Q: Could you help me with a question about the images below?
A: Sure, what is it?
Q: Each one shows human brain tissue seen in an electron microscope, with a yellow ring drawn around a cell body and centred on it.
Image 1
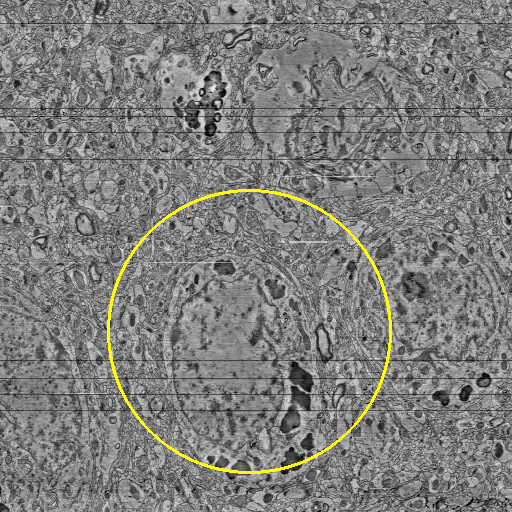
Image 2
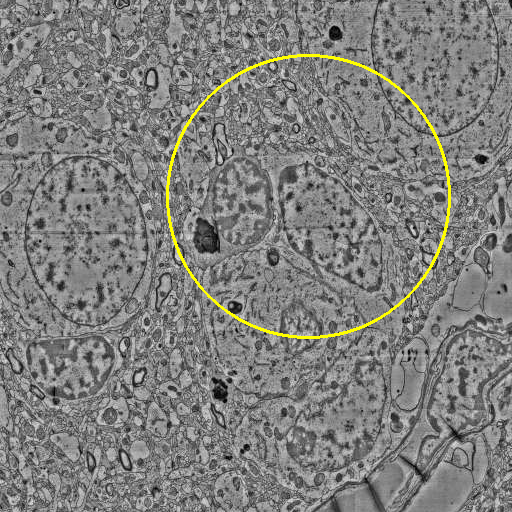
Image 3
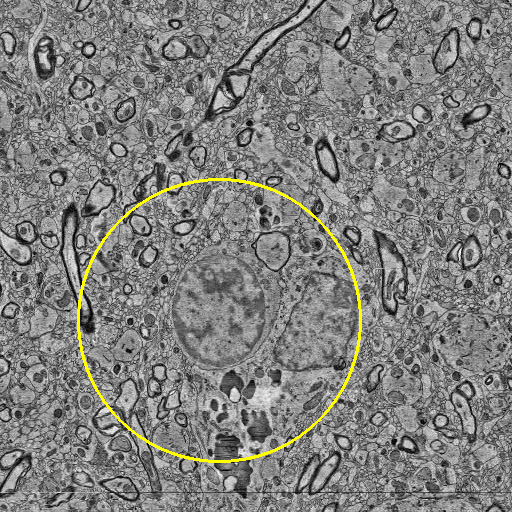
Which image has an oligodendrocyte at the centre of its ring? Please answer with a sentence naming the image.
Image 3 has it at the centre of its ring.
